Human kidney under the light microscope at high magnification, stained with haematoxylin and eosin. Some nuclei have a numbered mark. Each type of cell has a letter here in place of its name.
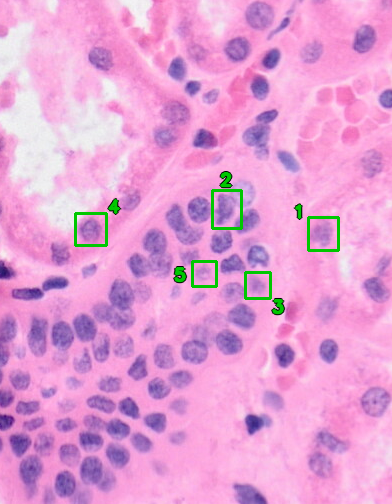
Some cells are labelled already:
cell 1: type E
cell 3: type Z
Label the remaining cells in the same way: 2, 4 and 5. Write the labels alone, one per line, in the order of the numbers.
type Z
type E
type Z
